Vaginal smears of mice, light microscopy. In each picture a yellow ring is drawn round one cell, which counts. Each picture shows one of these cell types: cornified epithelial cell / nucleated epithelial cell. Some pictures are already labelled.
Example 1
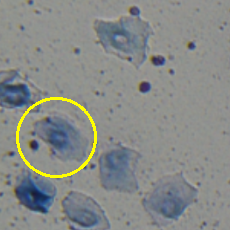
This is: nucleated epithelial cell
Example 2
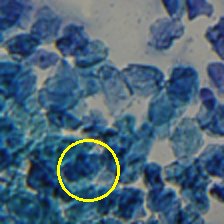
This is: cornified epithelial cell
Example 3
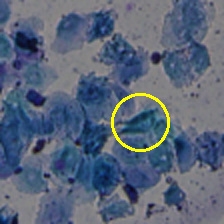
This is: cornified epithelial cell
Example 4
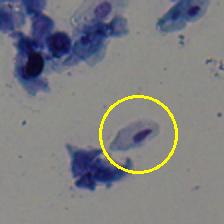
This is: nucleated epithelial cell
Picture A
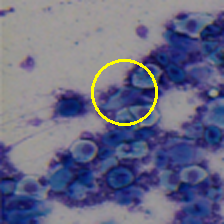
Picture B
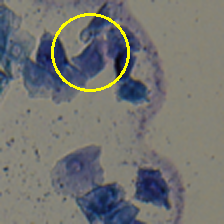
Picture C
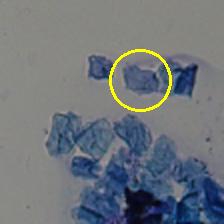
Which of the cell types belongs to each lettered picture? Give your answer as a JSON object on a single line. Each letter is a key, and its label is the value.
{"A": "nucleated epithelial cell", "B": "cornified epithelial cell", "C": "cornified epithelial cell"}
